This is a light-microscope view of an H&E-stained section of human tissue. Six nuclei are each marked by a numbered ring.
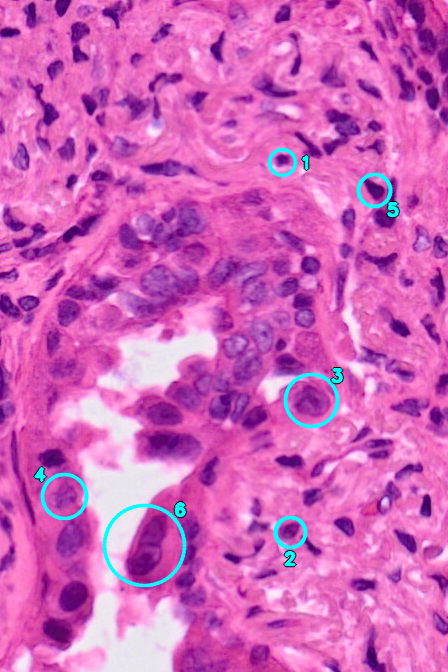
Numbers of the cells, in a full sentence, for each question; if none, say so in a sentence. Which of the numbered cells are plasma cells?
The cells to which the numbers 2 and 5 refer are plasma cells.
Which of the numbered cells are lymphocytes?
Among the numbered cells, a lymphocyte occurs only once, as cell 1.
